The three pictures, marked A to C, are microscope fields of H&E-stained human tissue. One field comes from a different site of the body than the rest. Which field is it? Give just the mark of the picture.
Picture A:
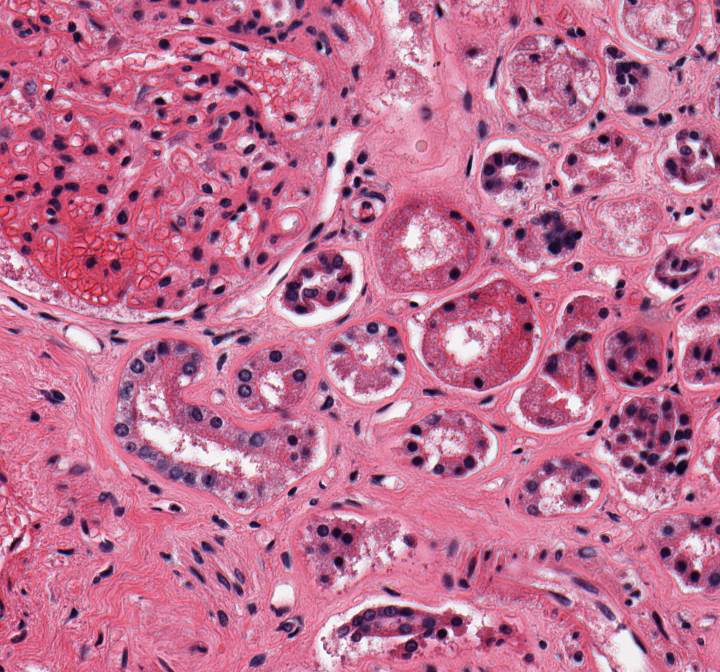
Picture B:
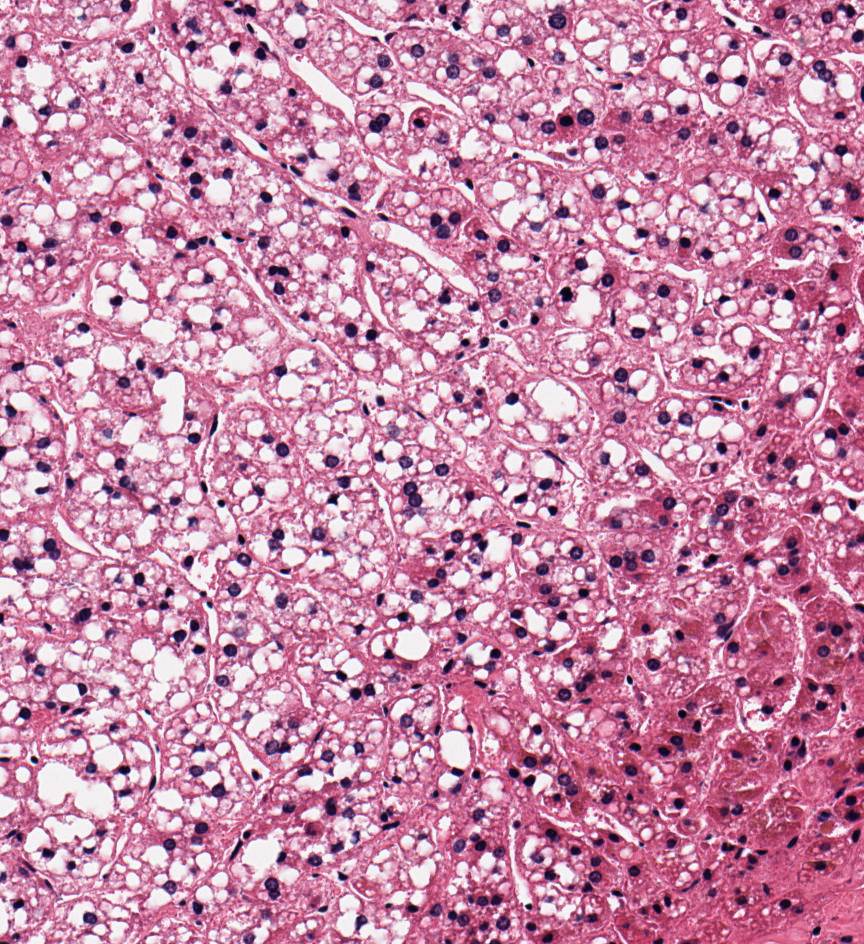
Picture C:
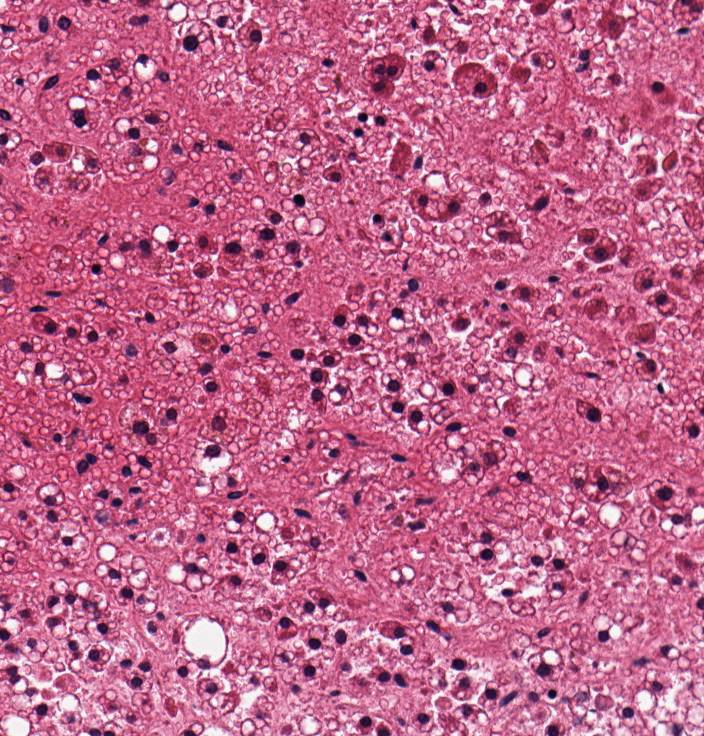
A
